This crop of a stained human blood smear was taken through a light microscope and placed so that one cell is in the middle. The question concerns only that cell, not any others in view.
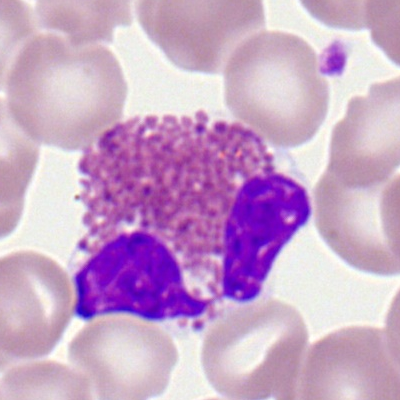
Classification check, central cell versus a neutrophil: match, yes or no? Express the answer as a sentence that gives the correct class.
No, the central cell is counted as an eosinophil instead of a neutrophil.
